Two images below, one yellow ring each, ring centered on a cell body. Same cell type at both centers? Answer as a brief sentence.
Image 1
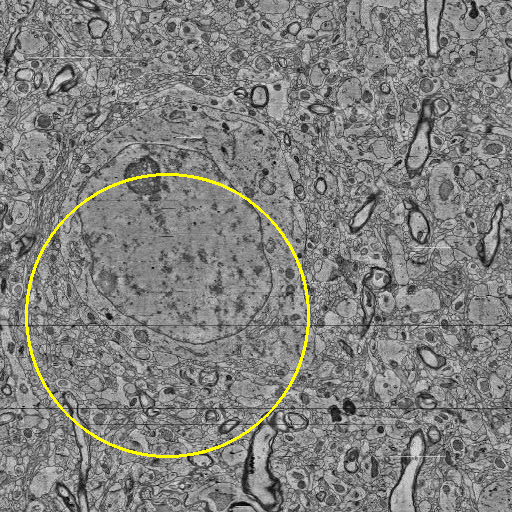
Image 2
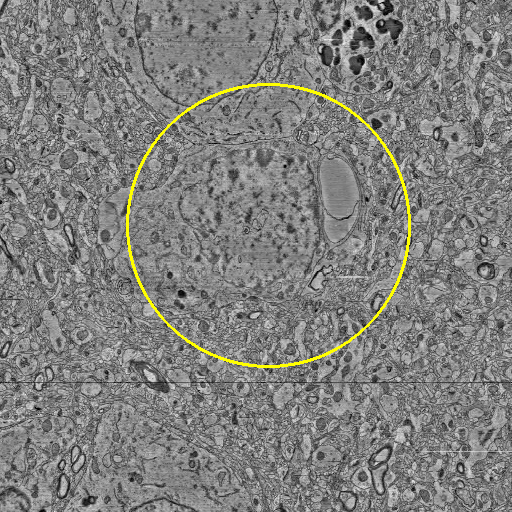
No, the cells are of two separate types.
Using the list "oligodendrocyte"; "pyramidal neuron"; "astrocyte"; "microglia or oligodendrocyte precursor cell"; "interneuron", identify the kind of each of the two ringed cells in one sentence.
The first is a pyramidal neuron and the second is an interneuron.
